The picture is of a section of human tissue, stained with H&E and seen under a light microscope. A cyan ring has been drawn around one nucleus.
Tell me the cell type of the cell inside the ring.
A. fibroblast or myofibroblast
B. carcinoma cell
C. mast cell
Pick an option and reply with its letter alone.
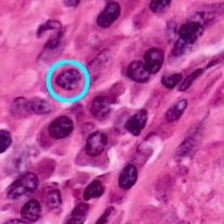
C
